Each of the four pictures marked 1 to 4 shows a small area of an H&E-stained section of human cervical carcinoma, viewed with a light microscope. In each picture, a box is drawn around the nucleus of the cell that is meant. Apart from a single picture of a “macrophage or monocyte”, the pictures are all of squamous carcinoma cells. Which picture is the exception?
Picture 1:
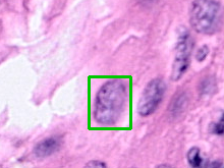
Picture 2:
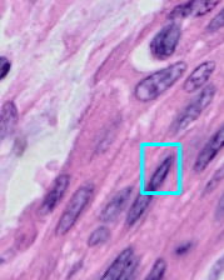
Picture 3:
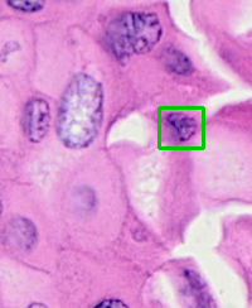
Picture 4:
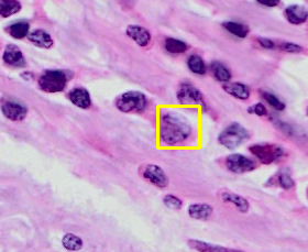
4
